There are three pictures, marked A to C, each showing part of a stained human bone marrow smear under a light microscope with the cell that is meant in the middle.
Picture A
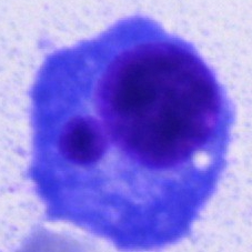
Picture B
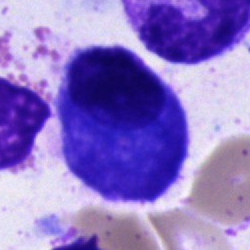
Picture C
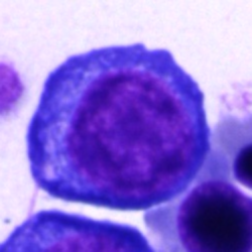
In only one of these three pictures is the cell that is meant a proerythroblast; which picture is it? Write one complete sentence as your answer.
It is picture C that shows the proerythroblast.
